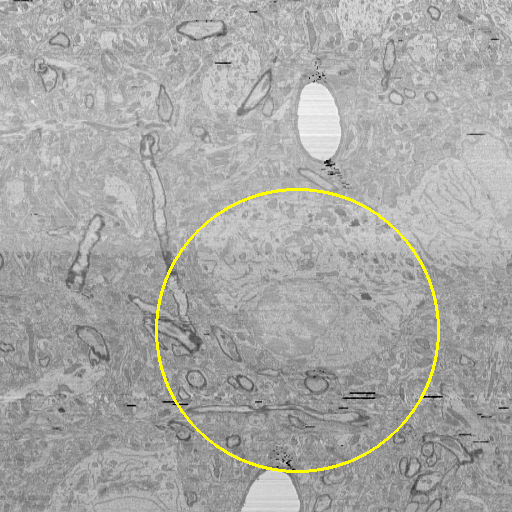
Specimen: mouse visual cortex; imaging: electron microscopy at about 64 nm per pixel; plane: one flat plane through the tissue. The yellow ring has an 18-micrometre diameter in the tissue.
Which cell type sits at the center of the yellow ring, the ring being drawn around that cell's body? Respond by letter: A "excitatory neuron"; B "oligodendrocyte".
B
